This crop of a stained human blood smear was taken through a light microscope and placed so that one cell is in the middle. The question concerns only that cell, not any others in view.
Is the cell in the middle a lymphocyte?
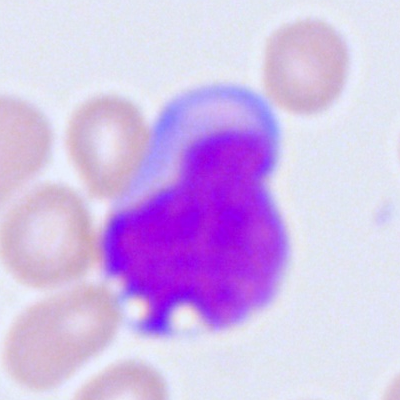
no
